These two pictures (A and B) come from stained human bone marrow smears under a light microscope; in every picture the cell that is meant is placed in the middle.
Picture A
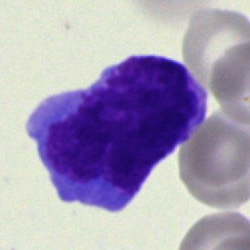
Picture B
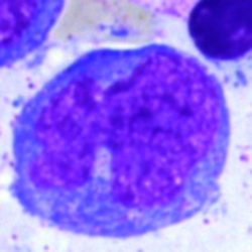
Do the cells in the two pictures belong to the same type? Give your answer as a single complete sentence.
No, the types are not the same, since picture A shows a blast and picture B a monocyte.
